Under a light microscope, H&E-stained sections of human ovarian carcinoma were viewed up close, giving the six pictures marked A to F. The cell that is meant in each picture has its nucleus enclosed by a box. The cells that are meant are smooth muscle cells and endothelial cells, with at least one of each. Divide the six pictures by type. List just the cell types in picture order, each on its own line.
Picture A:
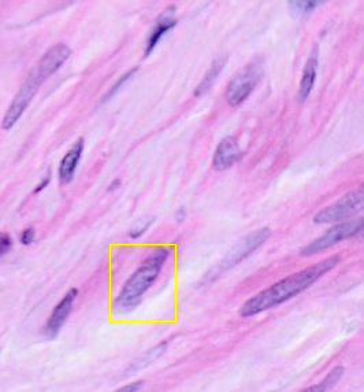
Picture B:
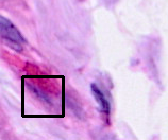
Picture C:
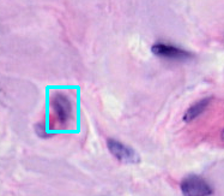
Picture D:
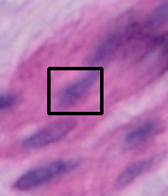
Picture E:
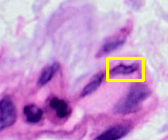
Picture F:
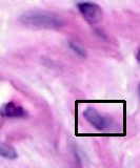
smooth muscle cell
endothelial cell
endothelial cell
smooth muscle cell
endothelial cell
smooth muscle cell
